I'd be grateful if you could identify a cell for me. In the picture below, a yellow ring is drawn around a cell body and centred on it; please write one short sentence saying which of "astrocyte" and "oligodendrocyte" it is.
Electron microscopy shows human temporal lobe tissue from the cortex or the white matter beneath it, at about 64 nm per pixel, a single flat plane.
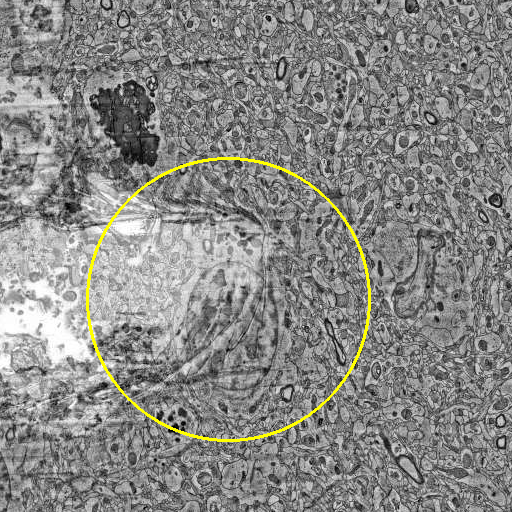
The cell under the ring's centre is an astrocyte.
